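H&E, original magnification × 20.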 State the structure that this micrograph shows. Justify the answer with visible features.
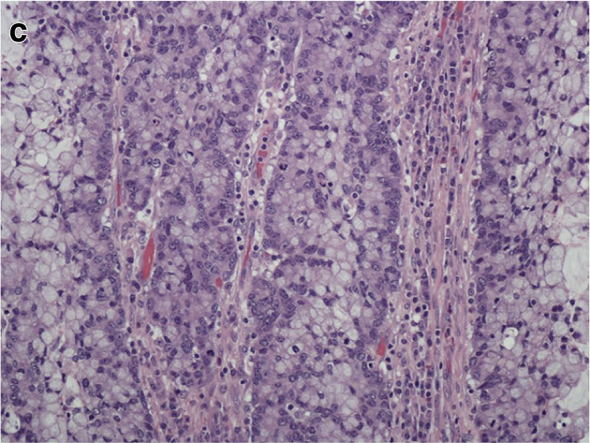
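Trabecular pattern with peripheral palisading. Tumor cells form long parallel cords separated by thin stromal strips. Nuclei line up along the edges of each cord.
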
